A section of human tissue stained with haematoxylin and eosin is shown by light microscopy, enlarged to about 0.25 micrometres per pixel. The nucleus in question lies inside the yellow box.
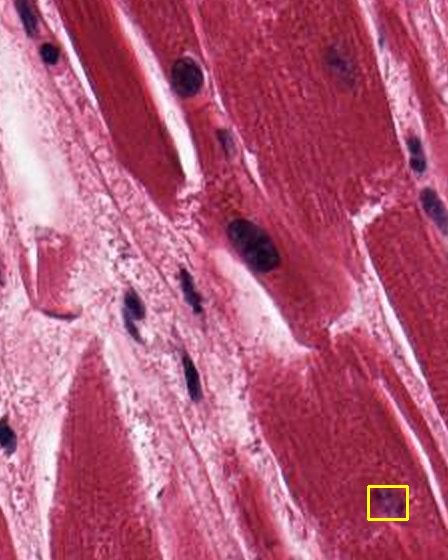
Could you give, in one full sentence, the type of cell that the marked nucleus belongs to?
A nucleus of a cardiomyocyte is the one that is marked.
